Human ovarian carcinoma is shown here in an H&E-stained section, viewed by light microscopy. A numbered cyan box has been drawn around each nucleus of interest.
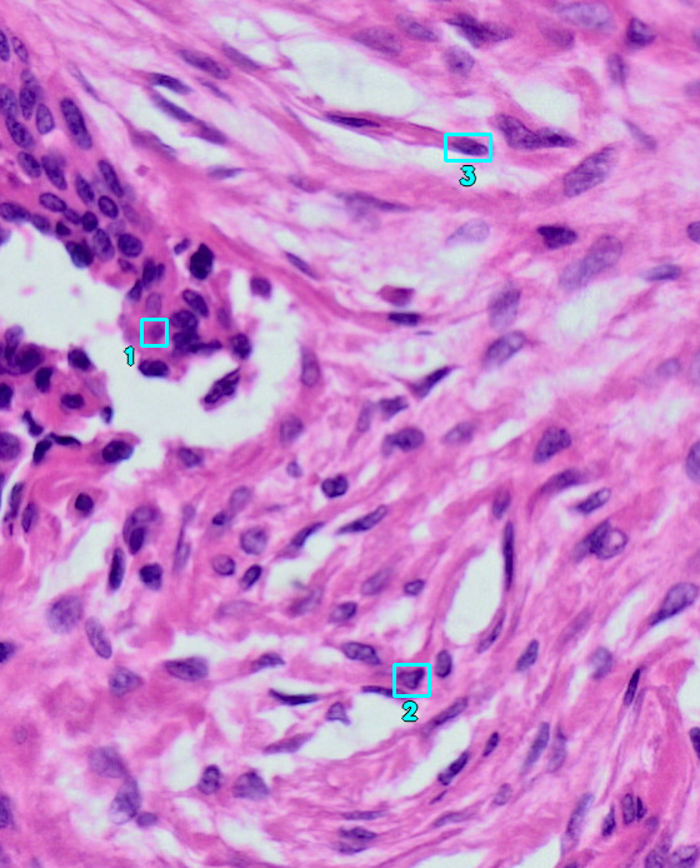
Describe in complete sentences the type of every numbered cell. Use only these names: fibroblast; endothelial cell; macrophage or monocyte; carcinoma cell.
Cell 1 is a carcinoma cell, cell 2 is a fibroblast and cell 3 is a fibroblast.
